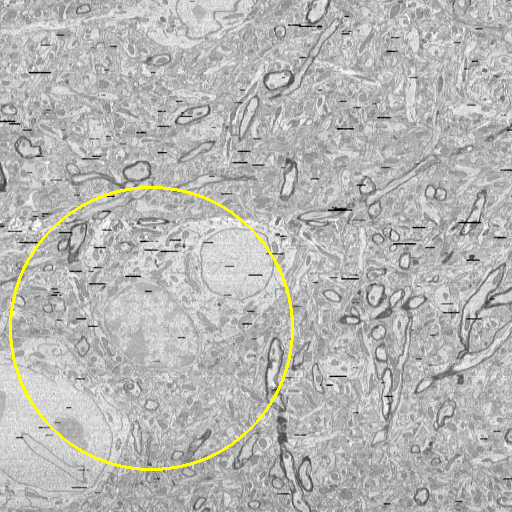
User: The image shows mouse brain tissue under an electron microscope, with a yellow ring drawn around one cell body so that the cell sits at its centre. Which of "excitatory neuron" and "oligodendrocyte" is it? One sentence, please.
At the centre of the ring sits an oligodendrocyte.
